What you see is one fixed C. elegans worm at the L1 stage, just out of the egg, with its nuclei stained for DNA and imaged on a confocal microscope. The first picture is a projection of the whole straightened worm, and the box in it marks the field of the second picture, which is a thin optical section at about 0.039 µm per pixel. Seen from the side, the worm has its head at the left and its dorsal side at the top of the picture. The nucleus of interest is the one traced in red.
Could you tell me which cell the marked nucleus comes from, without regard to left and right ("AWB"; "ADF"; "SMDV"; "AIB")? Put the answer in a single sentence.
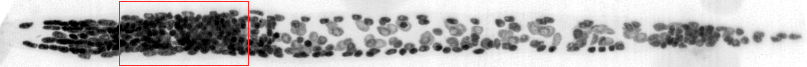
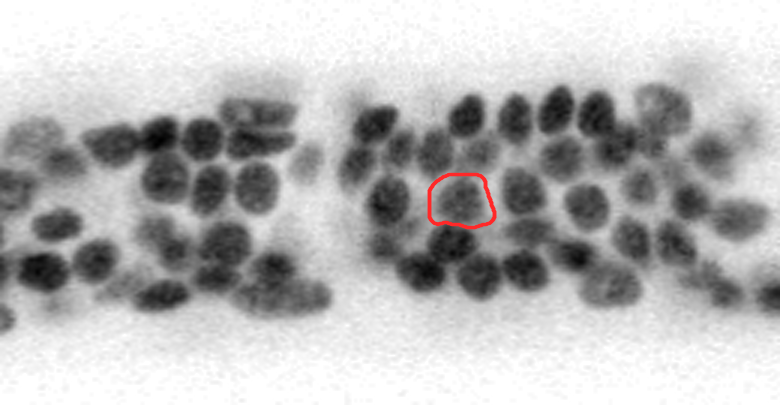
This is the nucleus of AIB, a neuron.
